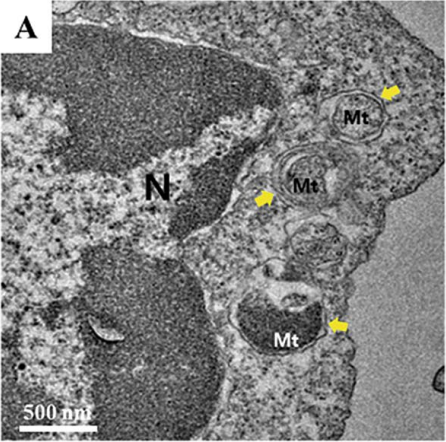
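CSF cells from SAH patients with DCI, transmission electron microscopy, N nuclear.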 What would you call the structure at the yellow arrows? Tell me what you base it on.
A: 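Autophagic vacuoles containing damaged mitochondria. Each arrow points at an extra membrane surrounding a mitochondrion-like profile. The enclosed organelles sit within membrane-bounded compartments in the cytoplasm.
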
